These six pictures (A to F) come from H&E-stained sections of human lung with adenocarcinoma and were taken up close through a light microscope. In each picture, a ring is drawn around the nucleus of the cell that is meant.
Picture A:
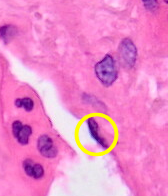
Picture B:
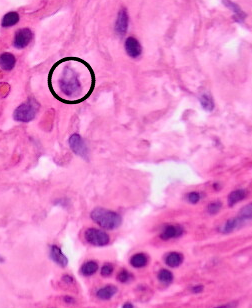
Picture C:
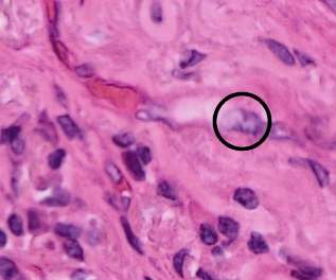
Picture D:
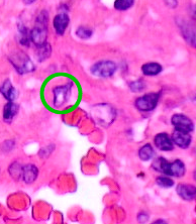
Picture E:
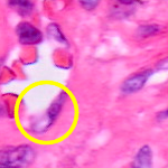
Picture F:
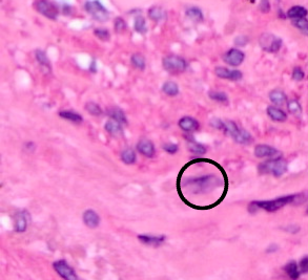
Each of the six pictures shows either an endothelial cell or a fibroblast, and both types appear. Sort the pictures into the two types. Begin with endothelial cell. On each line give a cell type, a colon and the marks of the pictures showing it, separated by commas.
endothelial cell: A, C, D, E
fibroblast: B, F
